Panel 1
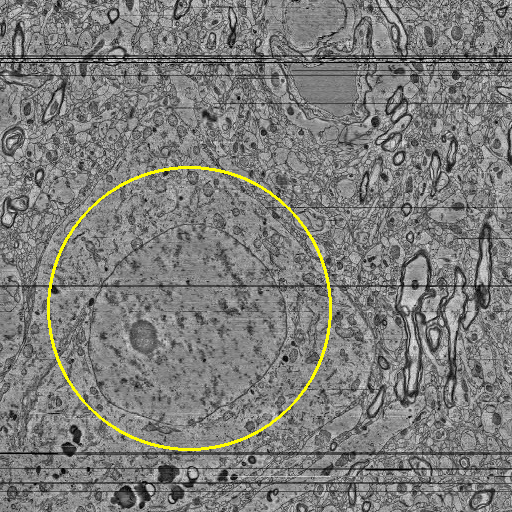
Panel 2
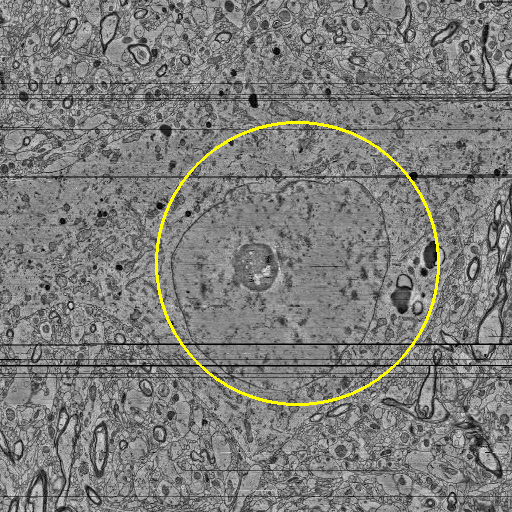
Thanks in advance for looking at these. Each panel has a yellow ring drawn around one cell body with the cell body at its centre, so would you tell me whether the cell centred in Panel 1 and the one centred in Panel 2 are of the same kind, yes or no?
yes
